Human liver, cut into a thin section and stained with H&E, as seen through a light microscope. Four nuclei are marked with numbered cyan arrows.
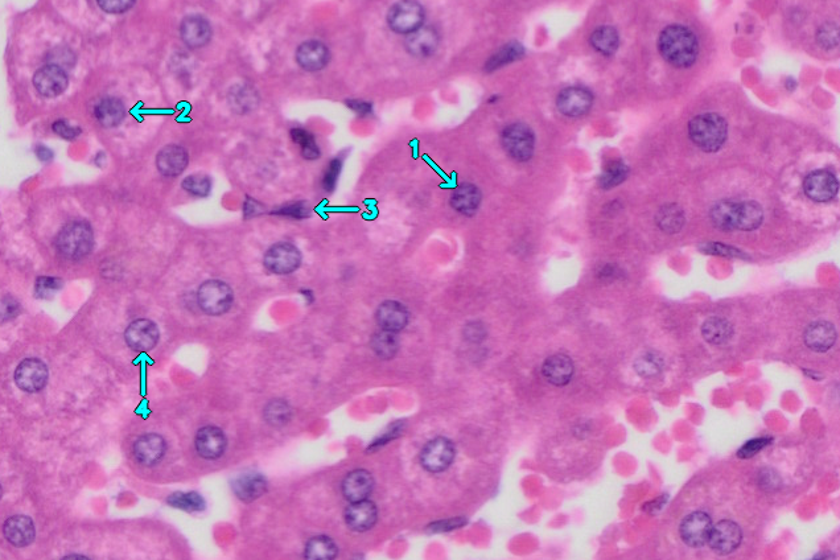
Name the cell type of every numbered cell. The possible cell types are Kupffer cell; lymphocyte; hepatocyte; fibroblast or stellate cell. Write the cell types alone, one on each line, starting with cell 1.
hepatocyte
hepatocyte
fibroblast or stellate cell
hepatocyte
